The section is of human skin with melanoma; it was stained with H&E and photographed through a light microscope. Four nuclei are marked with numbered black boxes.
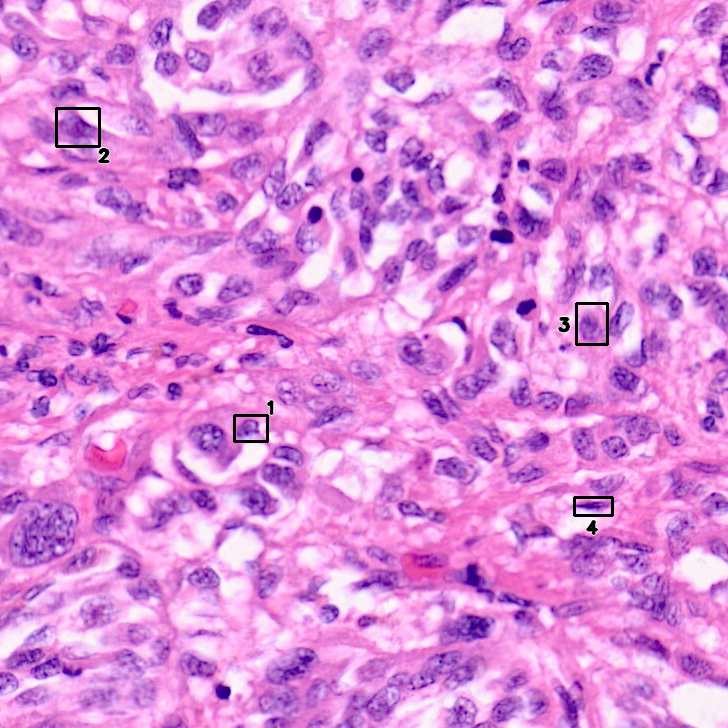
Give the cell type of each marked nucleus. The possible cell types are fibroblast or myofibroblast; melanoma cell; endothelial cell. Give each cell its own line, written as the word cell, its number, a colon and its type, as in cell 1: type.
cell 1: melanoma cell
cell 2: melanoma cell
cell 3: melanoma cell
cell 4: fibroblast or myofibroblast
